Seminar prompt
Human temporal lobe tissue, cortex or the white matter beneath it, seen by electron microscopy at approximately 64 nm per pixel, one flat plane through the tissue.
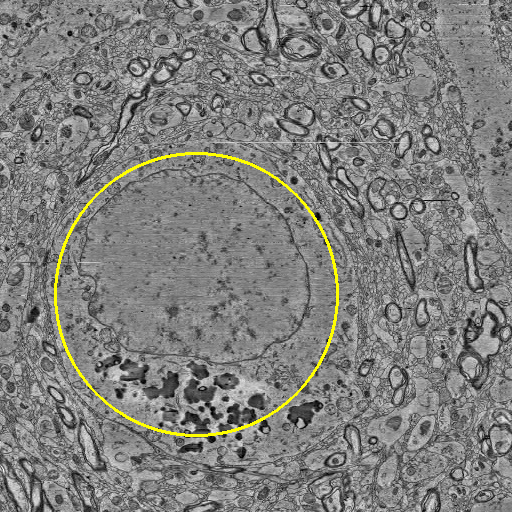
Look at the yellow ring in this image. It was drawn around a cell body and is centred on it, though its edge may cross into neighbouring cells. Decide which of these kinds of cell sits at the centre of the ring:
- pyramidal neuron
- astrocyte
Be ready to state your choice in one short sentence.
The kind of cell at the ring's centre is a pyramidal neuron.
